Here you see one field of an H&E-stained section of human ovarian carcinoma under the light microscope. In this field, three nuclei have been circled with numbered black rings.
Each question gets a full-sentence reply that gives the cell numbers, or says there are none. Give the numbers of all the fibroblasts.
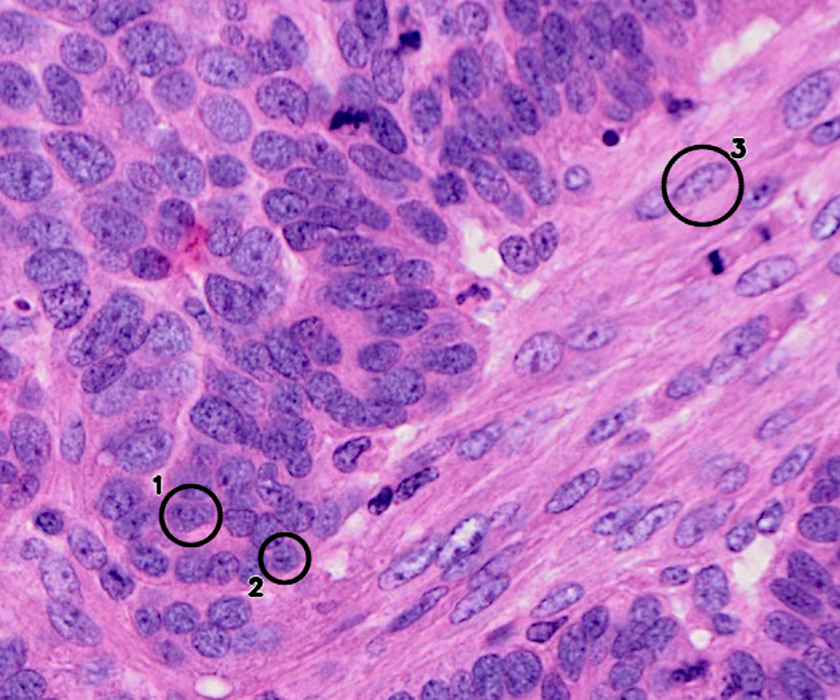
Cell 3 is a fibroblast; no further numbered cell is.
